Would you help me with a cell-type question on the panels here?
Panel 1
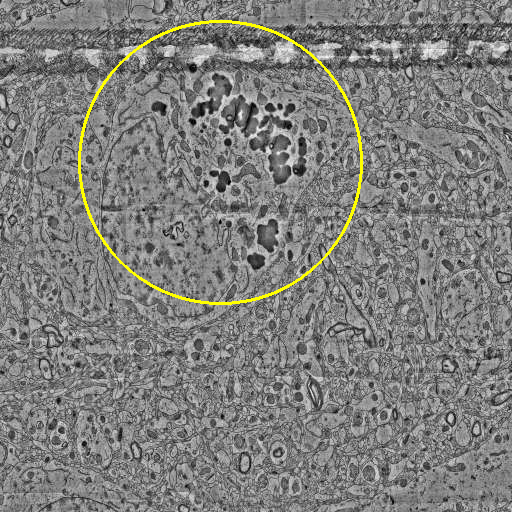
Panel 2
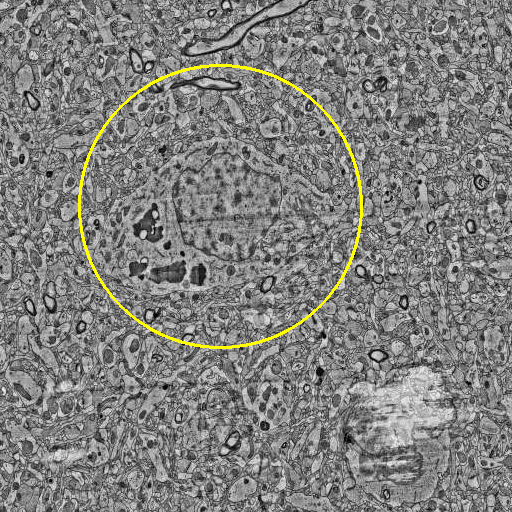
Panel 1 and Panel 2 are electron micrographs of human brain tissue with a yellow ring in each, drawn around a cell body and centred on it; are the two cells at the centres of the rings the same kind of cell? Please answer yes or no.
yes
